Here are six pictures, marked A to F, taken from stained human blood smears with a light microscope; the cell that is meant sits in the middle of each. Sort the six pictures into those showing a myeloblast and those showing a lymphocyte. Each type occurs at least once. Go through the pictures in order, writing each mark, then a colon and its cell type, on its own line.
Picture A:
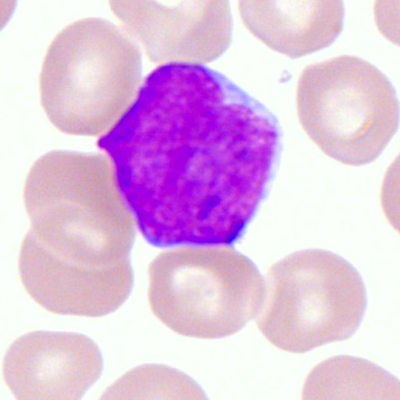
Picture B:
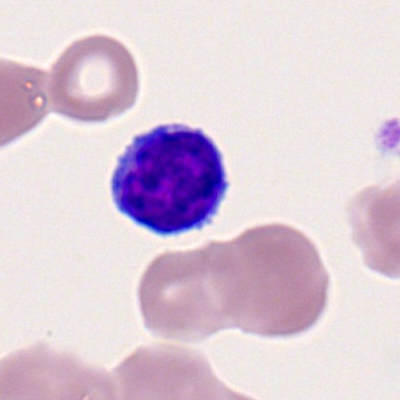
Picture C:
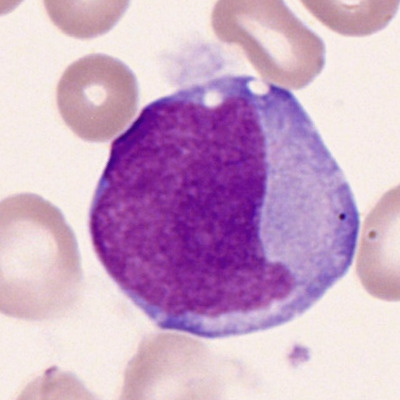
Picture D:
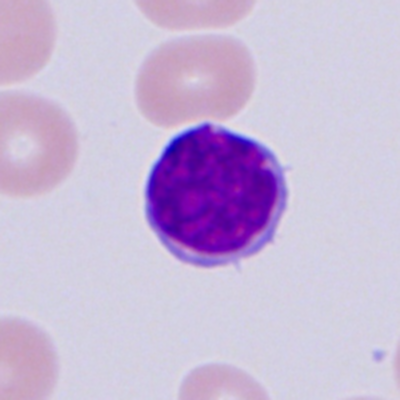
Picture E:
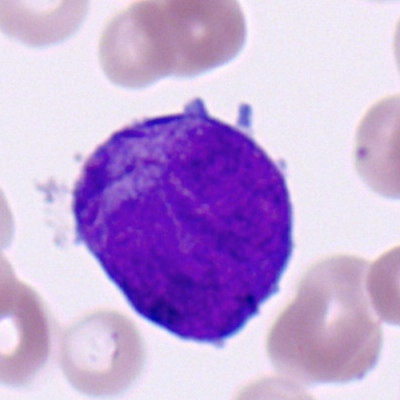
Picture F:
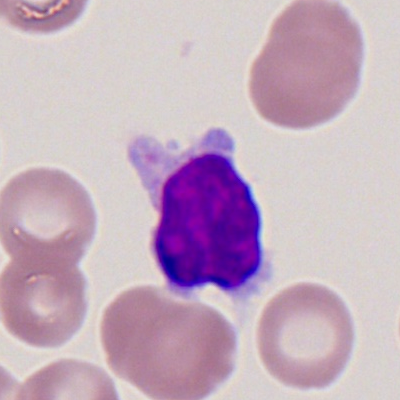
A: myeloblast
B: lymphocyte
C: myeloblast
D: lymphocyte
E: myeloblast
F: lymphocyte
